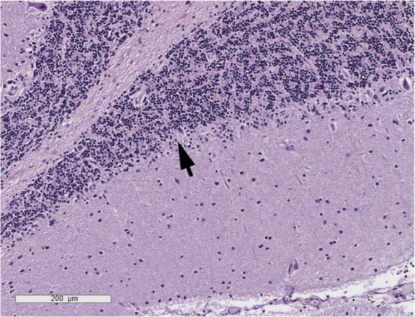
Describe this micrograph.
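This is cerebellar cortex: a dense band of small dark round nuclei, the granular layer, runs across the upper part, with a pale pink fibrous strip of white matter above it. Below lies the broad pale pink molecular layer, holding sparse small nuclei. At the border between the granular and molecular layers, where a row of large neuron bodies would normally sit, few or none can be made out.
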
